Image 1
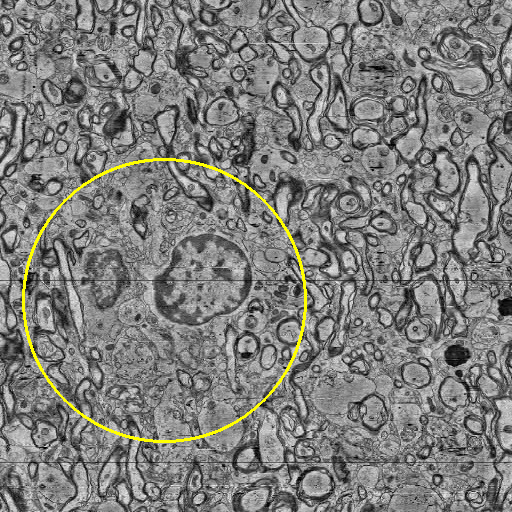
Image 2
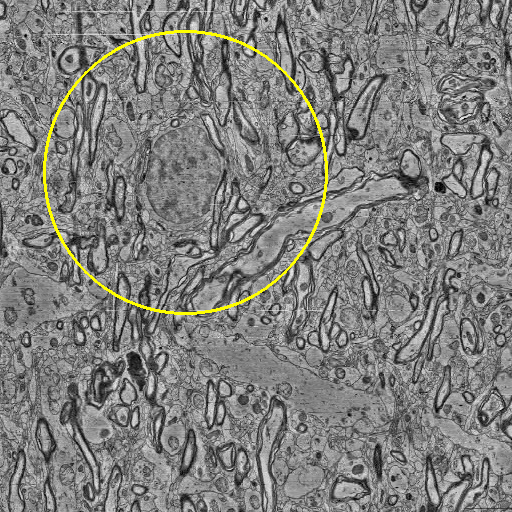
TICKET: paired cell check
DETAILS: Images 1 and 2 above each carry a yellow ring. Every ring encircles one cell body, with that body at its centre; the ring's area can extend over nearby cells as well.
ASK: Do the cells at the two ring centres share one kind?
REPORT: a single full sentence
No, the ring-centre cells of Images 1 and 2 belong to two kinds.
